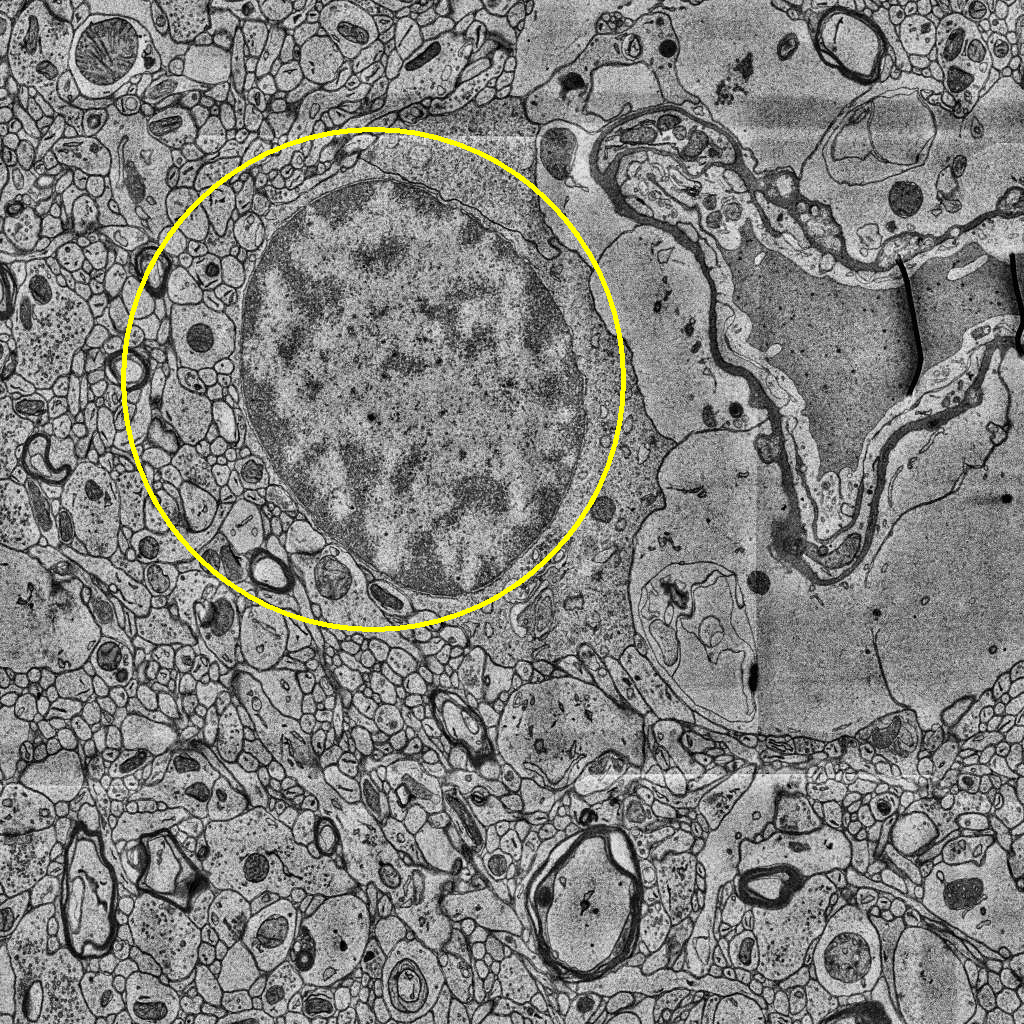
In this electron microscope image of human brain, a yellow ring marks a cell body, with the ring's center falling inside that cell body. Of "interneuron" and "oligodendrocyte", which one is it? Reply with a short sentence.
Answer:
It is an oligodendrocyte at the center of the ring.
